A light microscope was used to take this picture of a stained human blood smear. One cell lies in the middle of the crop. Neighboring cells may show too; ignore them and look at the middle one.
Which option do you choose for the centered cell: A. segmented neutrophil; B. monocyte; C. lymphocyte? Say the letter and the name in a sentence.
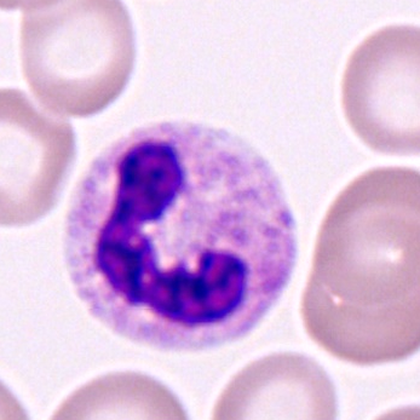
Identification: the cell in the middle is a segmented neutrophil, matching option A.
